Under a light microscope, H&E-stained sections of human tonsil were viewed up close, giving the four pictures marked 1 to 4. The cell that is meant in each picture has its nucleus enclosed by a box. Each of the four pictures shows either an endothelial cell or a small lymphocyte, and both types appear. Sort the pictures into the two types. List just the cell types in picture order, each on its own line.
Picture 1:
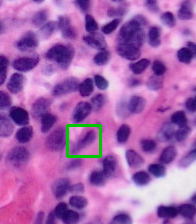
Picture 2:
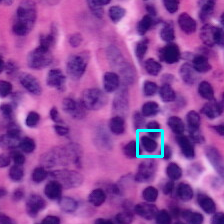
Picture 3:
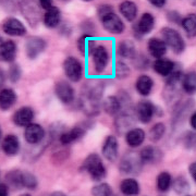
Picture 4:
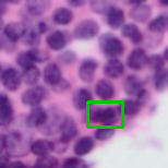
endothelial cell
small lymphocyte
small lymphocyte
small lymphocyte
